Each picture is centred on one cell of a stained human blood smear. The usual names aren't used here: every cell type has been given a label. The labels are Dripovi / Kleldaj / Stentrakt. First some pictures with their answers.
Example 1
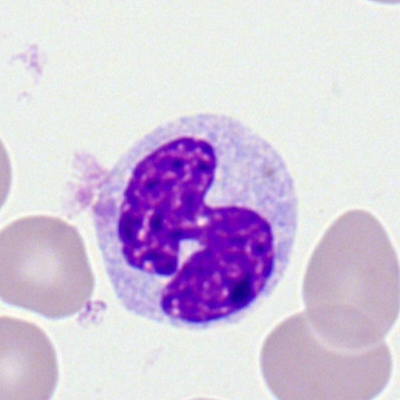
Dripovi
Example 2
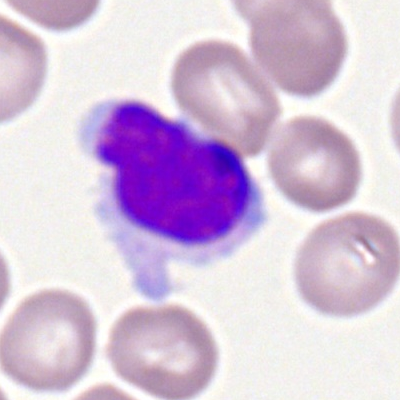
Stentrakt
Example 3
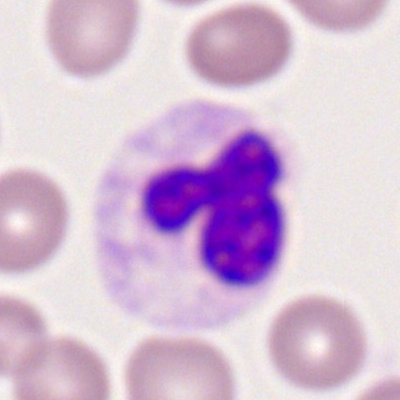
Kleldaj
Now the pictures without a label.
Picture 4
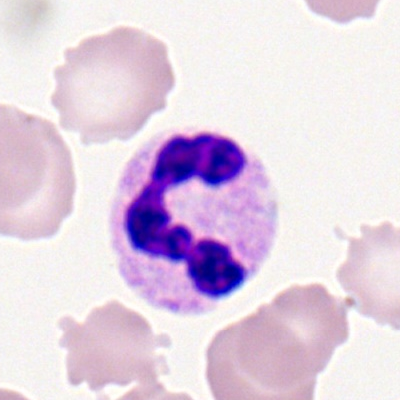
Kleldaj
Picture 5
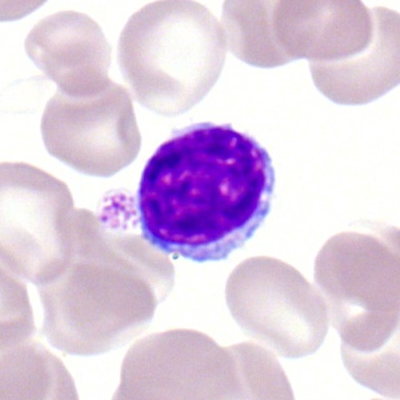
Stentrakt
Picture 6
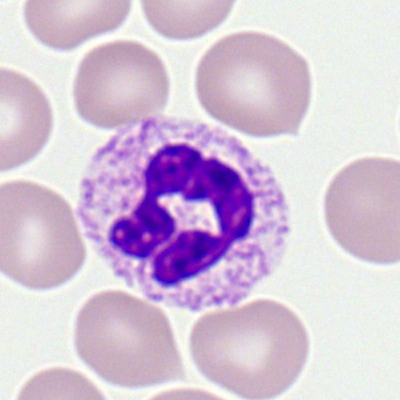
Kleldaj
